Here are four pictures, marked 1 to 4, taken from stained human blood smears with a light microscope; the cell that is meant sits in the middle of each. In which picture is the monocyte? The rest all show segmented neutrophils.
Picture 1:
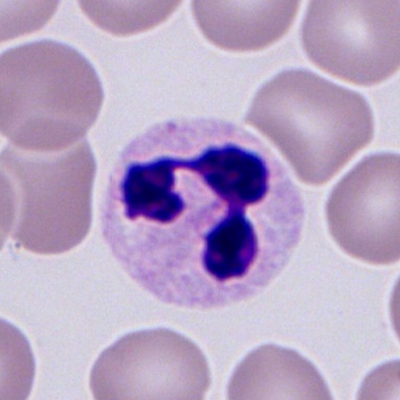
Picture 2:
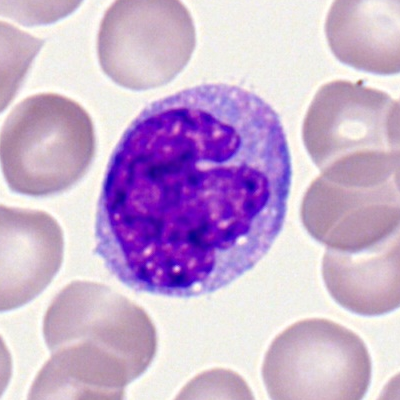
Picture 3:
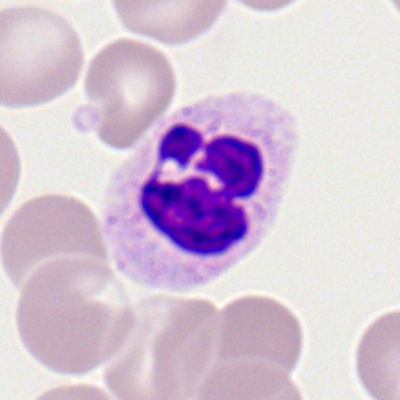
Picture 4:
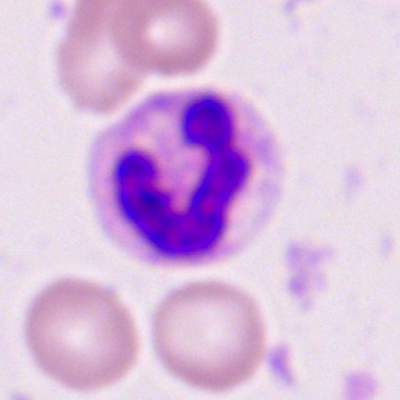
2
